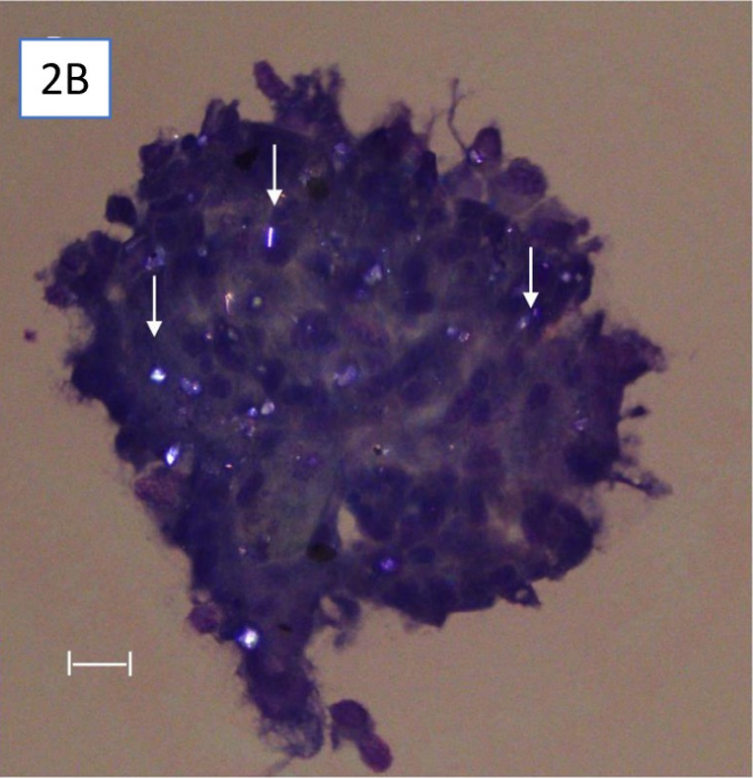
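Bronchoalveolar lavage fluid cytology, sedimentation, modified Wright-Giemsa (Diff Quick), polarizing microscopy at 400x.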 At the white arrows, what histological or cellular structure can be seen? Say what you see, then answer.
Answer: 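Birefringent particulates. The arrows point to small bright white glinting specks and a short bright rod. Many such specks are scattered through the large cell mass.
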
